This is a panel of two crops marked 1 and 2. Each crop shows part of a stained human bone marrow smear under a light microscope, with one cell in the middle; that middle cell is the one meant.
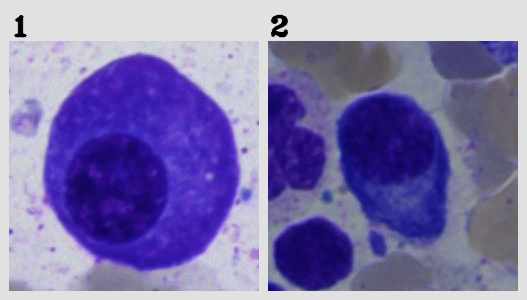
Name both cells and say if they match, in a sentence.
Yes, both crops contain plasma cells at their centres.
